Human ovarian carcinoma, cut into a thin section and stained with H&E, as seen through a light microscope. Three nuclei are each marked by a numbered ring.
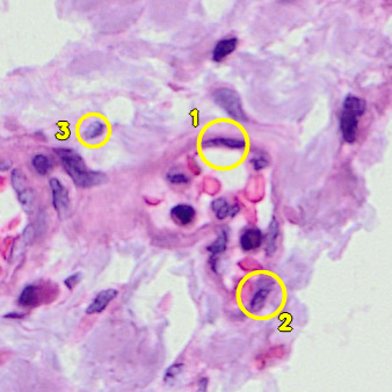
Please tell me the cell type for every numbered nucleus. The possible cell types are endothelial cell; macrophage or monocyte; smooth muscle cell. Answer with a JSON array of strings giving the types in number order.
["endothelial cell", "endothelial cell", "macrophage or monocyte"]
